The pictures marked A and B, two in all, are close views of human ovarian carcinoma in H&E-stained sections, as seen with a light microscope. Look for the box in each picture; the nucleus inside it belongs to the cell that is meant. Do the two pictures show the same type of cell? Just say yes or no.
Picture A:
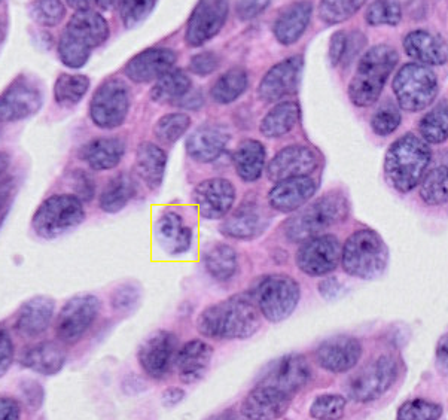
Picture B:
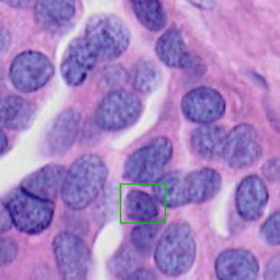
no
